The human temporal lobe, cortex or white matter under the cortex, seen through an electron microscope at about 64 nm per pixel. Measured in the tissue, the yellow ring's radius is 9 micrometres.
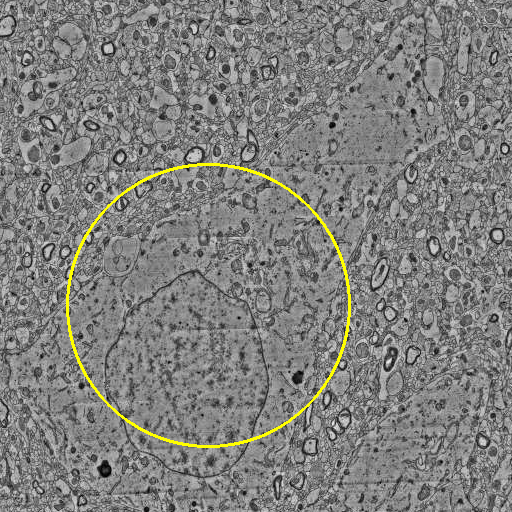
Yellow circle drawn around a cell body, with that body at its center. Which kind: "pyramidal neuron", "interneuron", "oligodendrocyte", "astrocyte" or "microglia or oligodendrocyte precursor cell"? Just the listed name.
pyramidal neuron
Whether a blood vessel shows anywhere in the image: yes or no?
No, there is none.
